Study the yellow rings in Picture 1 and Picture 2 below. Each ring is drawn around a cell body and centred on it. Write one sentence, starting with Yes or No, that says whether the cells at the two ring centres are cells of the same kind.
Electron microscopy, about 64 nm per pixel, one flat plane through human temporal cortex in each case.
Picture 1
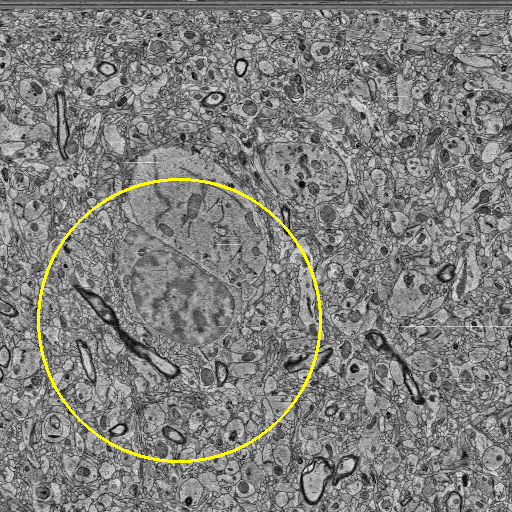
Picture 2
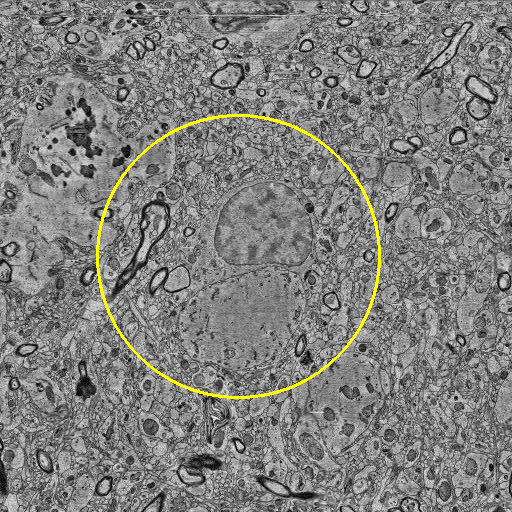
Yes, the cells at both ring centres are of the same kind.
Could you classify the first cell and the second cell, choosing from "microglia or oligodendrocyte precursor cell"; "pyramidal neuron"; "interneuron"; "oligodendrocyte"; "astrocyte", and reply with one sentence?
Each of the ringed cells, first and second, is an oligodendrocyte.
